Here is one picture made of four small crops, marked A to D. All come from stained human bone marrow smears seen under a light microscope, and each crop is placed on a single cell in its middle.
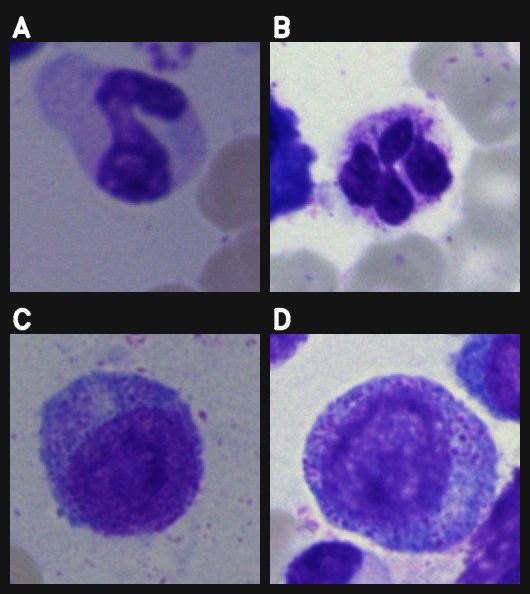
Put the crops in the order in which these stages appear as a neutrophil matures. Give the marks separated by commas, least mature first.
D, C, A, B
